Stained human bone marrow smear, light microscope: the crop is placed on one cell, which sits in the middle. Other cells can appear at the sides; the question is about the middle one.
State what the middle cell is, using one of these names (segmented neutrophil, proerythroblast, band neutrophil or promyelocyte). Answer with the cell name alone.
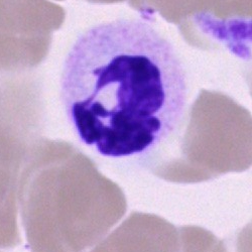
segmented neutrophil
